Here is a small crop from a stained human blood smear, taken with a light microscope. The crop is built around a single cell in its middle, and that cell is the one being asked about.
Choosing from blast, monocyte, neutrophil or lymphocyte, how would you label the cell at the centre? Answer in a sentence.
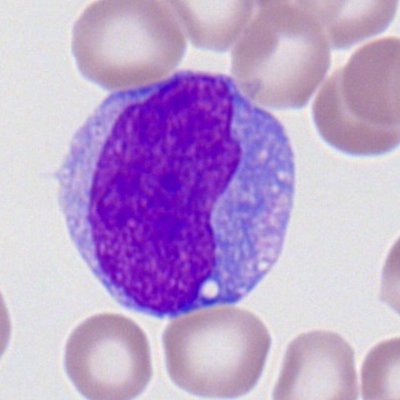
Of the cells in this crop, the central one is a monocyte.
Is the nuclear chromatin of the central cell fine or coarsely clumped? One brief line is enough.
Answer: the chromatin is fine and has no coarse clumps.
